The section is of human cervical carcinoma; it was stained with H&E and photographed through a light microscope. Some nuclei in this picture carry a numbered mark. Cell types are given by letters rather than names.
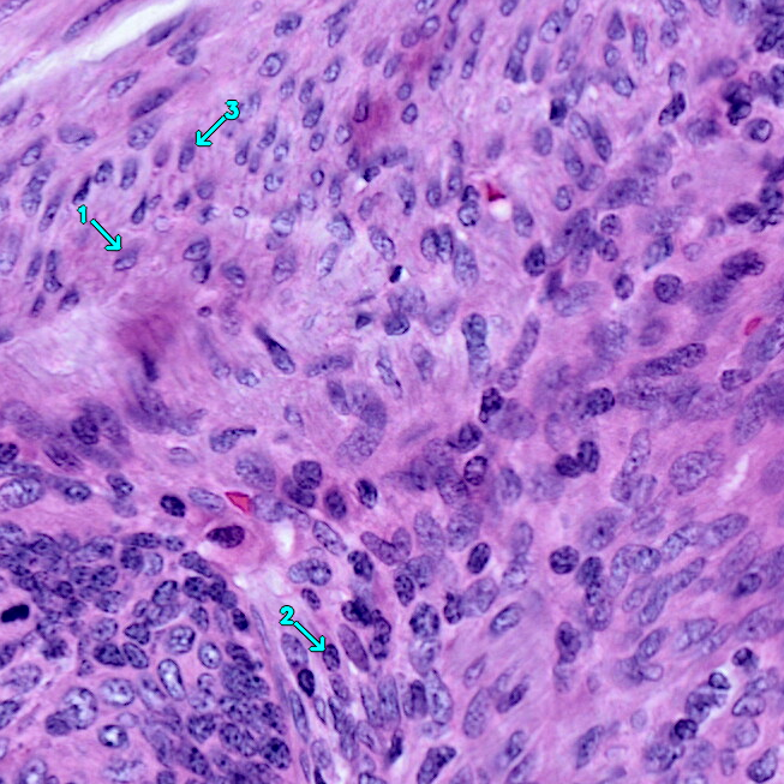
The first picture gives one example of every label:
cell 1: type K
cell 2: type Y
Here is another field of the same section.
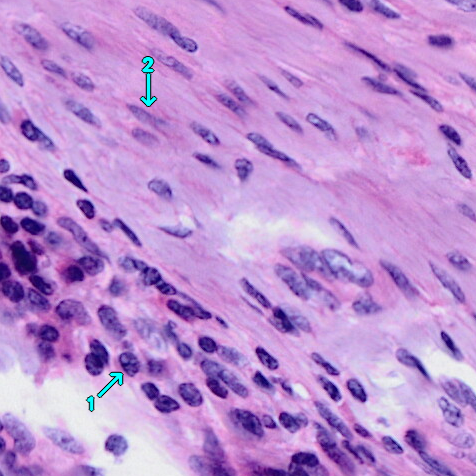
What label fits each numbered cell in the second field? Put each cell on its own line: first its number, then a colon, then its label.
1: type Y
2: type K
